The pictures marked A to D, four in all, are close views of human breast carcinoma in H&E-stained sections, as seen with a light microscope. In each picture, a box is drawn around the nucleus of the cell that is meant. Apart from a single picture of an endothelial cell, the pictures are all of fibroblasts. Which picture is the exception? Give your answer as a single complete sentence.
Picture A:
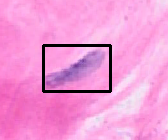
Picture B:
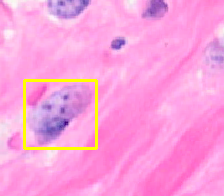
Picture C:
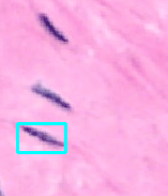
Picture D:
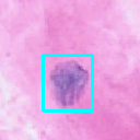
It is picture B that shows the endothelial cell.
